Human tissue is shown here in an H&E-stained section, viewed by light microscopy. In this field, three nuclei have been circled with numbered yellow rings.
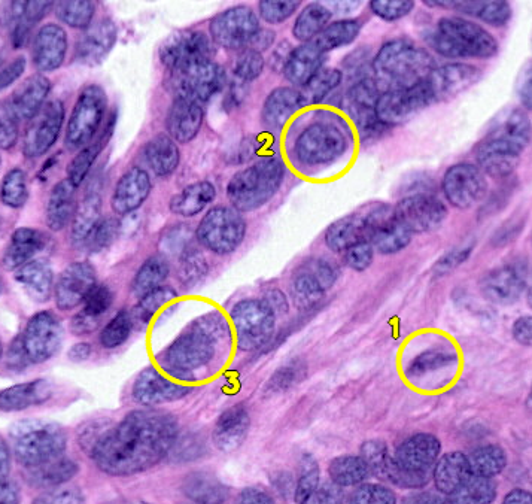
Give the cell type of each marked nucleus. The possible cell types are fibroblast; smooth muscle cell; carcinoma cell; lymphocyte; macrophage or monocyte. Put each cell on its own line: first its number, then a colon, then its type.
1: fibroblast
2: carcinoma cell
3: carcinoma cell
